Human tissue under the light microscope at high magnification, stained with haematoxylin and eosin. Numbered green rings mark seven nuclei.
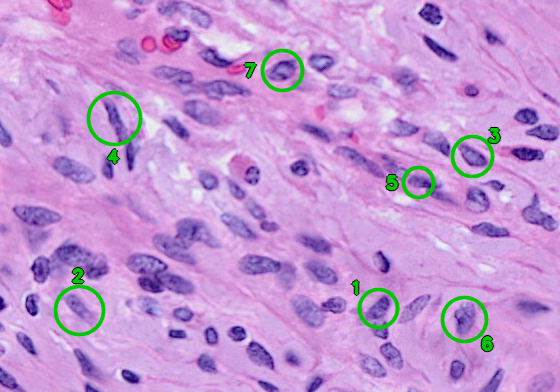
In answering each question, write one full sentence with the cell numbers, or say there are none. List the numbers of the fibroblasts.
Into the category of fibroblasts fall the cells numbered 1, 2, 4 and 6.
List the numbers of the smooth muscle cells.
Just the cell marked 3 is a smooth muscle cell; none of the other marked cells is.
